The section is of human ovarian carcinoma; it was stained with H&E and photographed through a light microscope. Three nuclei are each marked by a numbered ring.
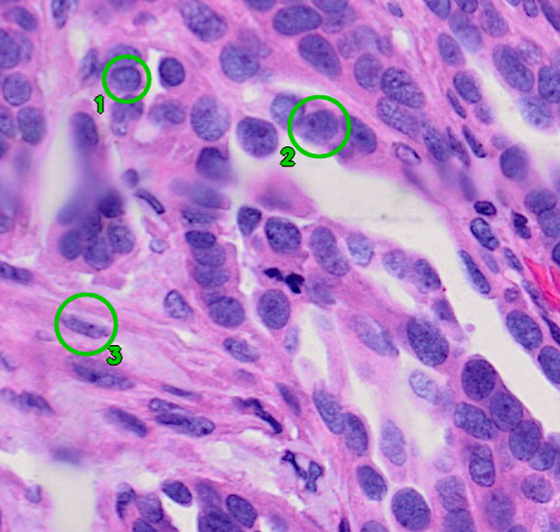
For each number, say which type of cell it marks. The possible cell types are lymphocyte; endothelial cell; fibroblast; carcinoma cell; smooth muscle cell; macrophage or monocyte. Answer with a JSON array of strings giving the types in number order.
["carcinoma cell", "carcinoma cell", "fibroblast"]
